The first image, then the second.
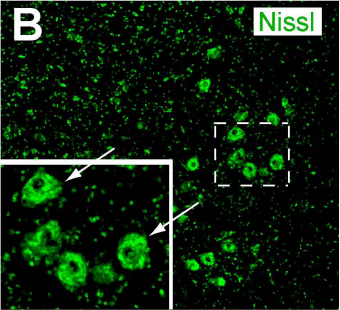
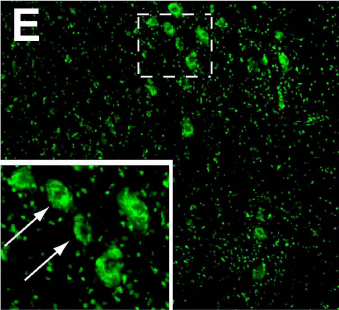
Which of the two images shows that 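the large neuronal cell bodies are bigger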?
The first image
